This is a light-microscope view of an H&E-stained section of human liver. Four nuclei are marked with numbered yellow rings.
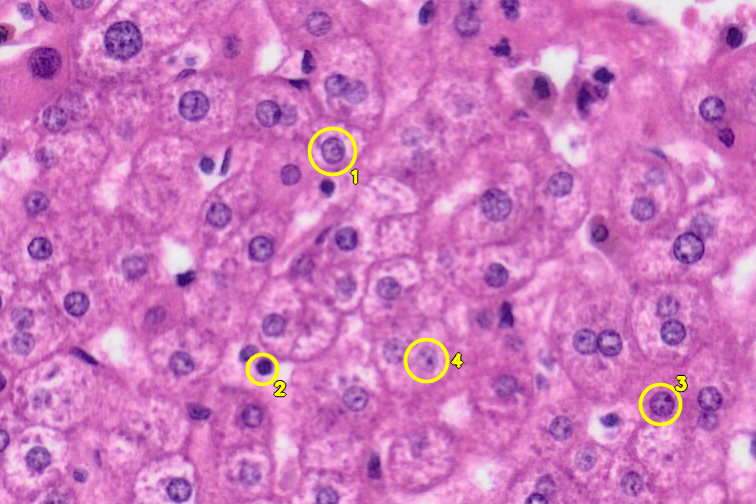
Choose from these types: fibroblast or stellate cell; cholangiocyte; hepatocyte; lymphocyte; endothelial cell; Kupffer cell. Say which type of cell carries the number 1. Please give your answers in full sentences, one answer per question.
In this section, the cell numbered 1 is a hepatocyte.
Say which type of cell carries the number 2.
Regarding cell 2, this one is a lymphocyte.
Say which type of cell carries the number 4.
The mark numbered 4 indicates the nucleus of a hepatocyte.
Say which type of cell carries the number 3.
The cell assigned the number 3 is a hepatocyte.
